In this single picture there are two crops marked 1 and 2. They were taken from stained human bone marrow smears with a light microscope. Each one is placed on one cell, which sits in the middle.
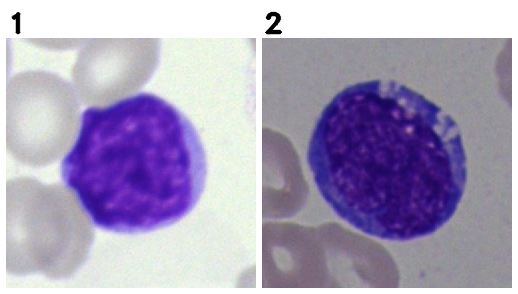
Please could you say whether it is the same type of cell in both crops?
yes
